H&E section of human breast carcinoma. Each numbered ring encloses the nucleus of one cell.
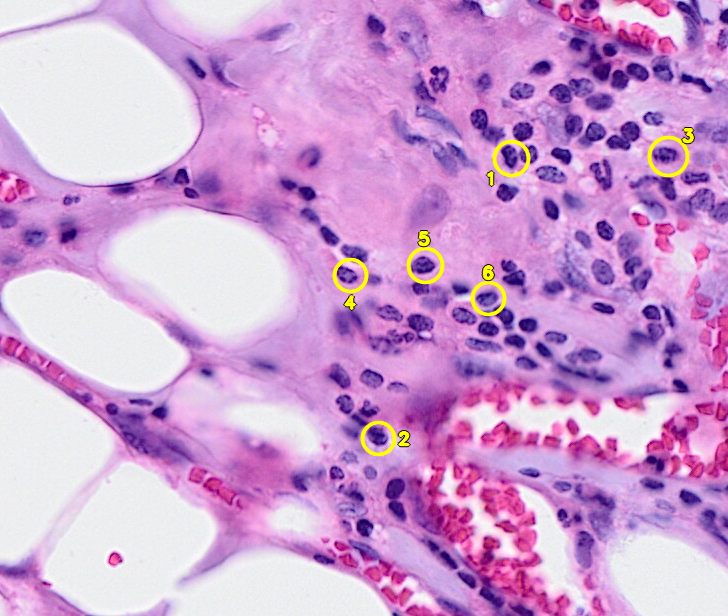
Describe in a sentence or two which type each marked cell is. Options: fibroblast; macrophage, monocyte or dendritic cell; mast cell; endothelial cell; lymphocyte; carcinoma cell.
Cells 1, 2, 5 and 6 are lymphocytes. Cells 3 and 4 are mast cells.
